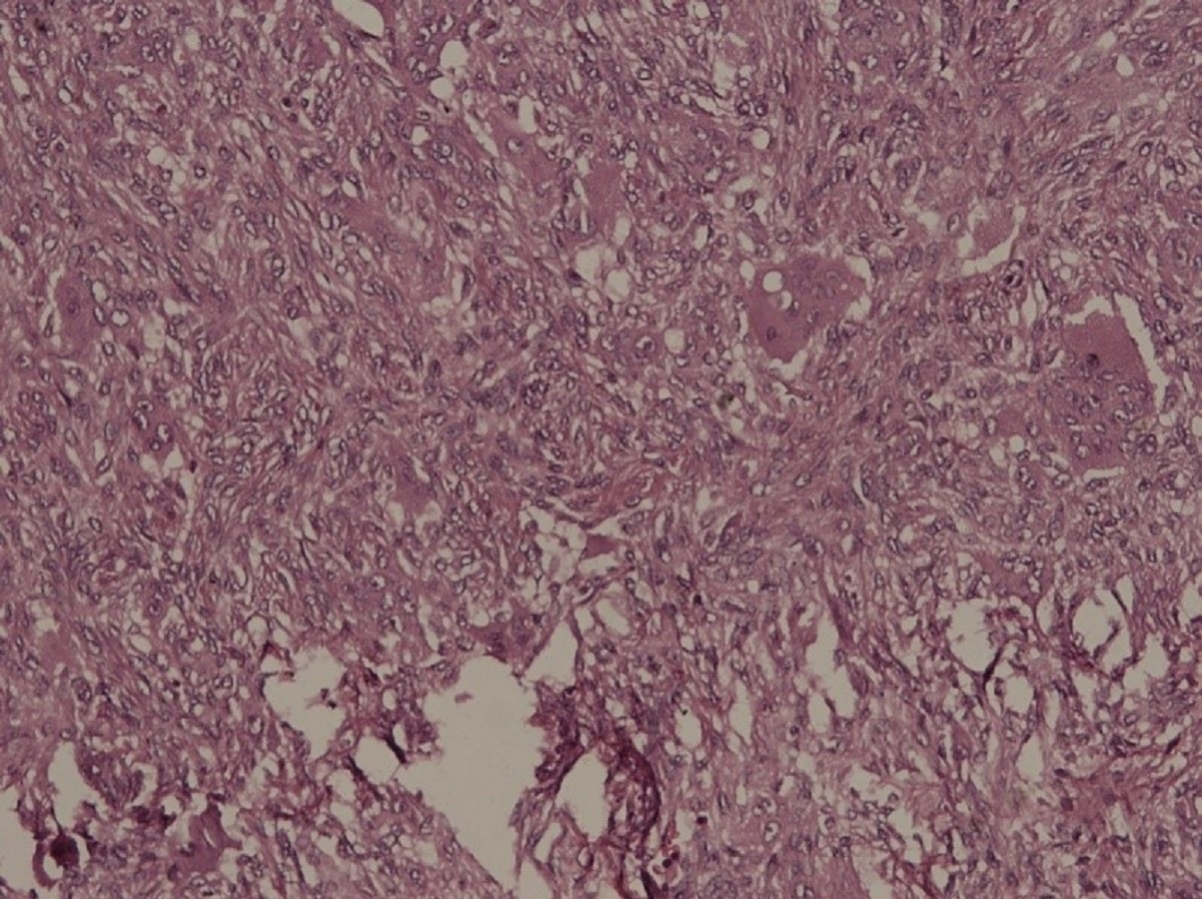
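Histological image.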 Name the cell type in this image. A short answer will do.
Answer: giant cells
